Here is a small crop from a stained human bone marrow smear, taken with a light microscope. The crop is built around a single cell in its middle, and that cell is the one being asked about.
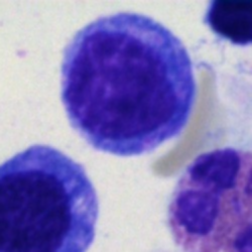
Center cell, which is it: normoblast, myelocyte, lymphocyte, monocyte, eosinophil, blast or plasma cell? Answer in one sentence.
In the center of this field lies a blast.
